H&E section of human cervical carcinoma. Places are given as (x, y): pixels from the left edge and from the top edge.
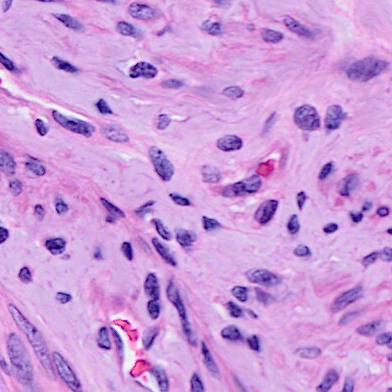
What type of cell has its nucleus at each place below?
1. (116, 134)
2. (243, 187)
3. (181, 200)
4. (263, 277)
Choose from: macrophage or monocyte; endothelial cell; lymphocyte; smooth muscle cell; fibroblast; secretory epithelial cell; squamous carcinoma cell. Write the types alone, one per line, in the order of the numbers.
endothelial cell
endothelial cell
fibroblast
fibroblast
